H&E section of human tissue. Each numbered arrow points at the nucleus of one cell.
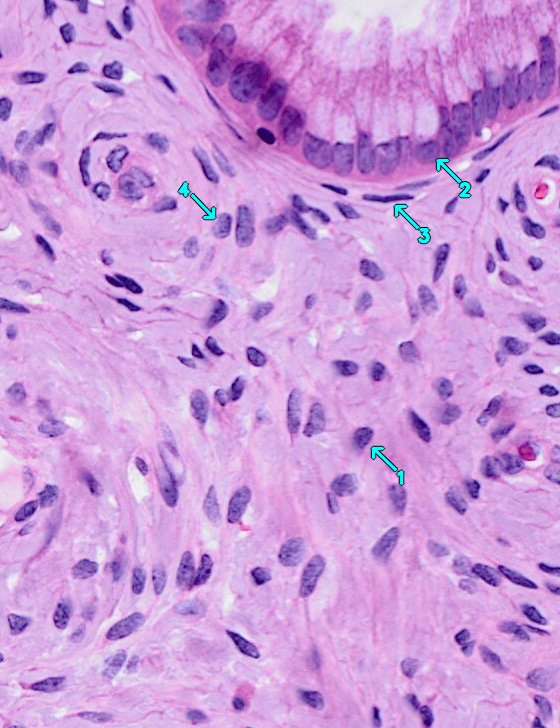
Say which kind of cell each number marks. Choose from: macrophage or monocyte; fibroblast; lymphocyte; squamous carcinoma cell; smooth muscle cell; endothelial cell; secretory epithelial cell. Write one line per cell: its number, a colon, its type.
1: fibroblast
2: secretory epithelial cell
3: fibroblast
4: fibroblast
